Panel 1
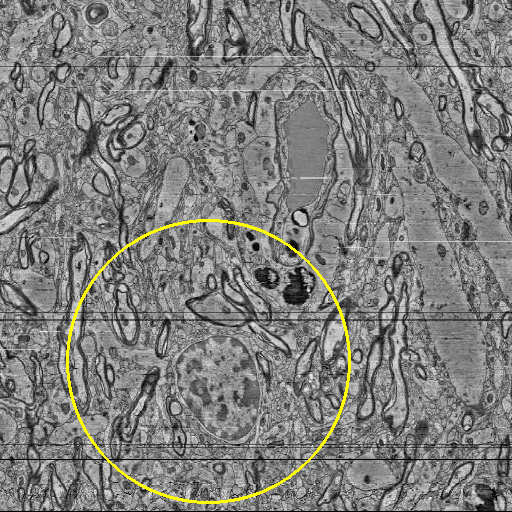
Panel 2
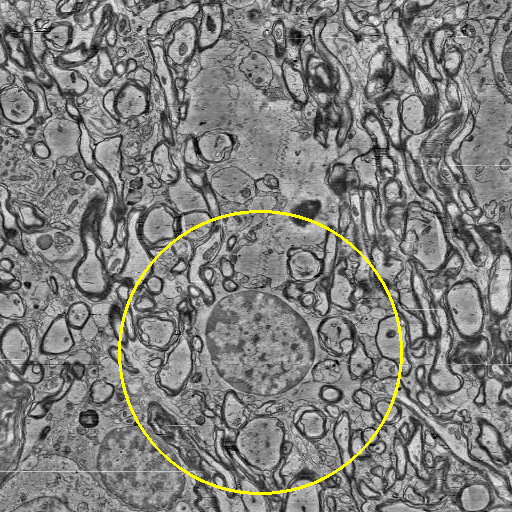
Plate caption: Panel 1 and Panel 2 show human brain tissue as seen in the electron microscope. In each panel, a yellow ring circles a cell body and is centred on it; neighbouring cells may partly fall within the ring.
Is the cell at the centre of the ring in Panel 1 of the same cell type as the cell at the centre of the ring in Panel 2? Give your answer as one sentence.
Yes, the two cells are of the same type.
